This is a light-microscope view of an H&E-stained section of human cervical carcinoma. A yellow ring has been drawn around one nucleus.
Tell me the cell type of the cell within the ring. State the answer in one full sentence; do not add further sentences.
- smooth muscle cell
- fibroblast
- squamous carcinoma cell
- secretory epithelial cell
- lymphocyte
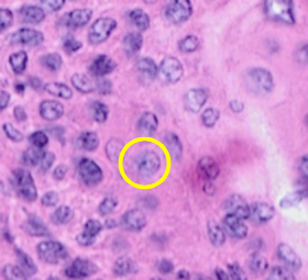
By cell type, the cell within the ring is a squamous carcinoma cell.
